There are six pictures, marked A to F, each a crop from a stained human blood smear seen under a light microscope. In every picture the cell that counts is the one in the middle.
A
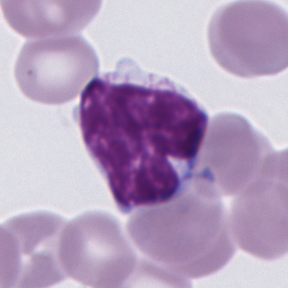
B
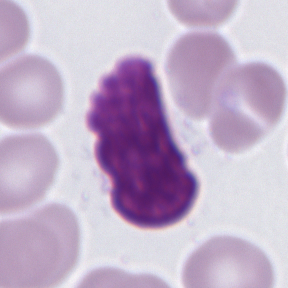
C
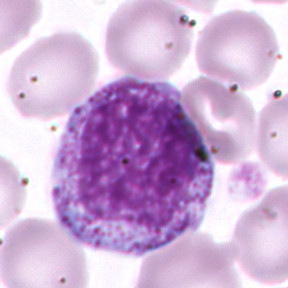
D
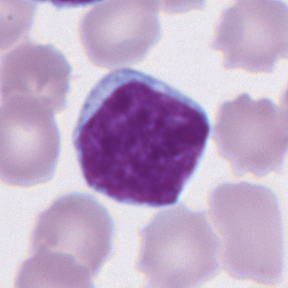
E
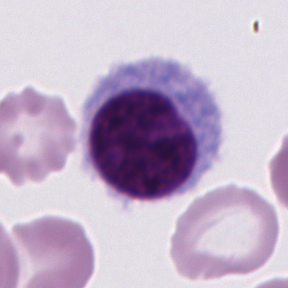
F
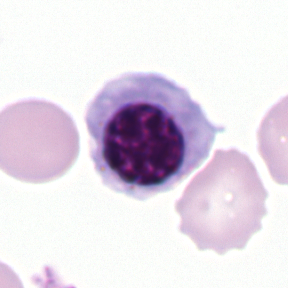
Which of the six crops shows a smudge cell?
B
